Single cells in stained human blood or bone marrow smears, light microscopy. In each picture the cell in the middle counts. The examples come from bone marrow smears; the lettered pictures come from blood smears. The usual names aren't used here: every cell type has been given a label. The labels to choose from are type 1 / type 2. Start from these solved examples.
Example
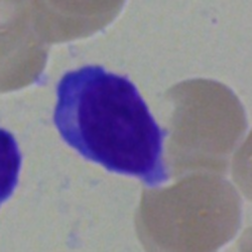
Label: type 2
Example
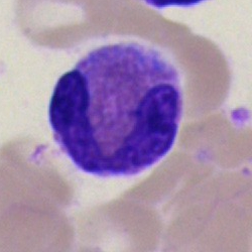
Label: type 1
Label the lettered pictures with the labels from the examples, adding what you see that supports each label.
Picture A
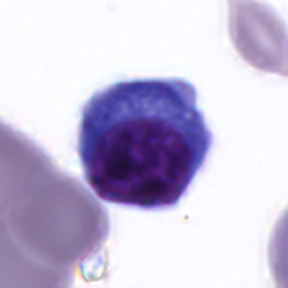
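type 2. Evidence: The cytoplasm stains a deep blue.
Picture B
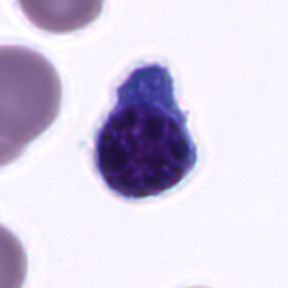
type 2. Evidence: The cytoplasm stains blue.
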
